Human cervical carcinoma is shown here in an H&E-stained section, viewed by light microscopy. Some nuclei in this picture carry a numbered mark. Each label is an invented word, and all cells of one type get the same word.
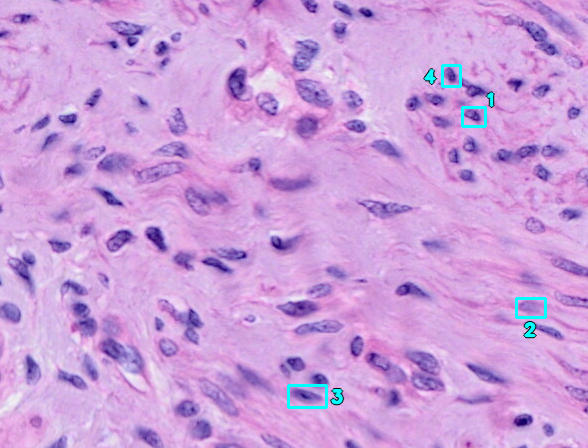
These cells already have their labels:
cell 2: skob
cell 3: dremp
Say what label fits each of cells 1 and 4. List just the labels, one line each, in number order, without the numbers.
skob
skob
